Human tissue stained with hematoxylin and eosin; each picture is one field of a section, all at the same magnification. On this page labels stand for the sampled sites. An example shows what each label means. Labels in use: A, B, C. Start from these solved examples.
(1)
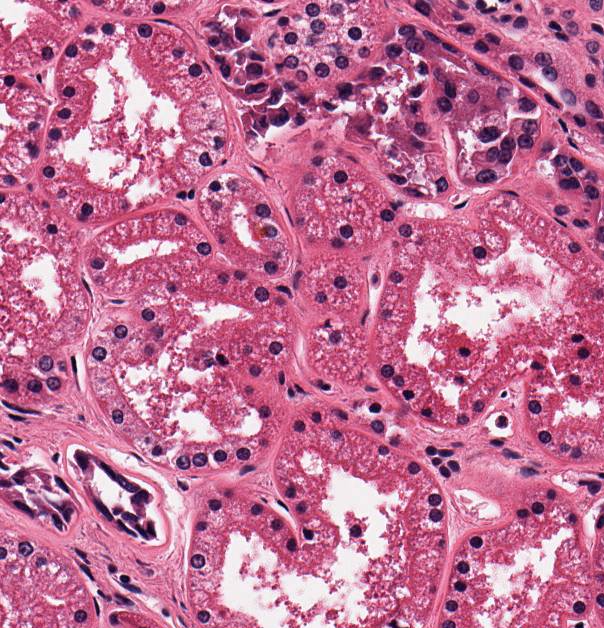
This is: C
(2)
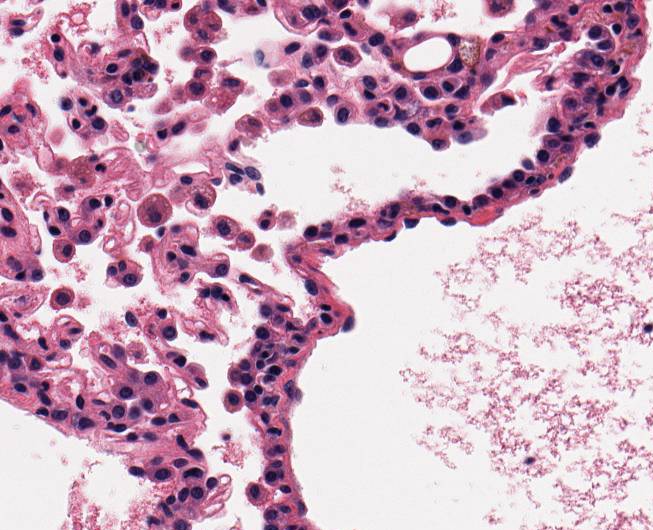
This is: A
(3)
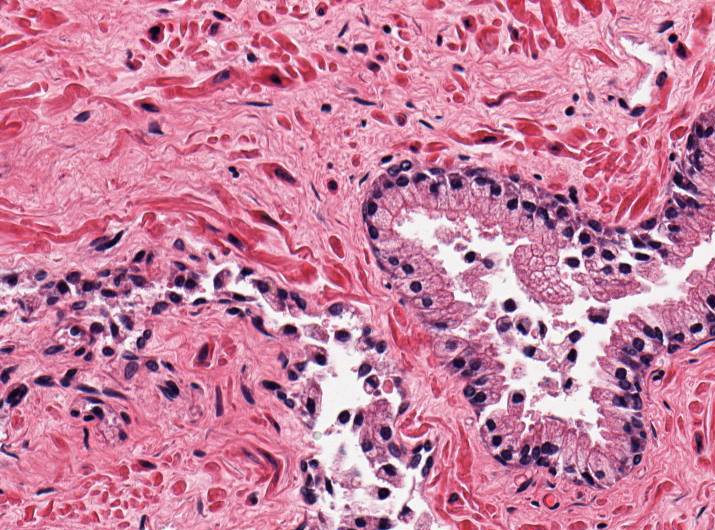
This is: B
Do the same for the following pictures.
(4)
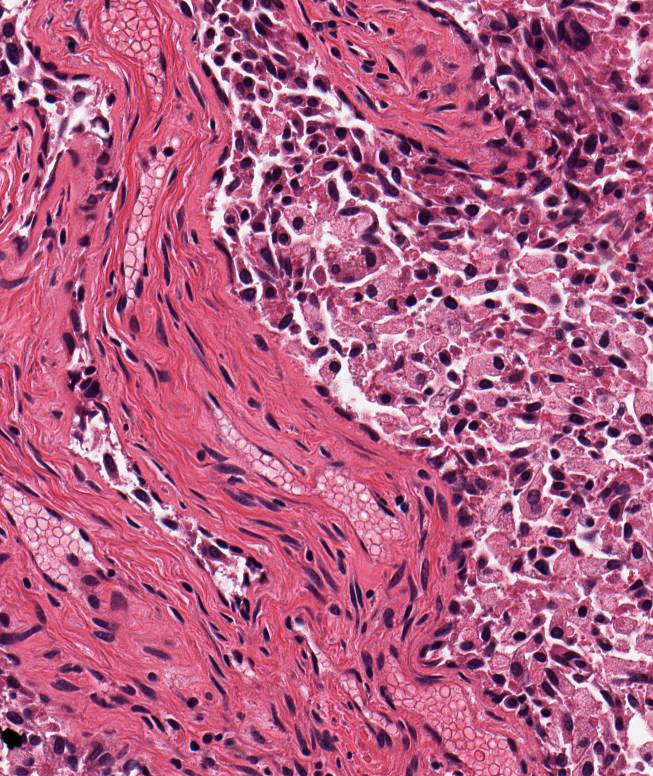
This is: B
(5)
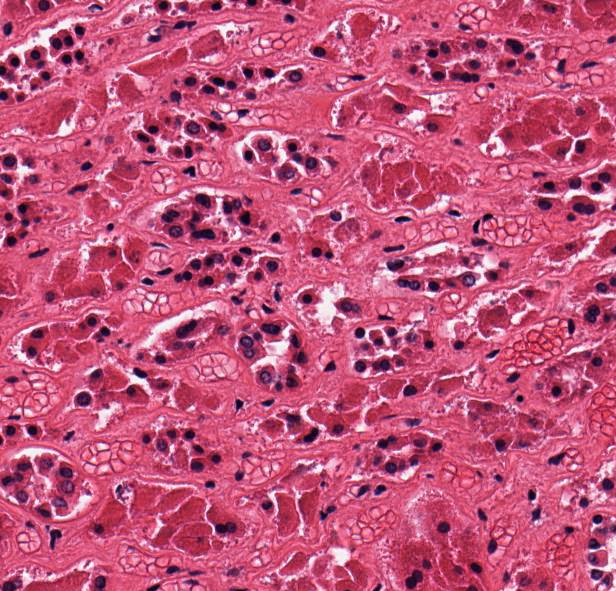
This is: C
